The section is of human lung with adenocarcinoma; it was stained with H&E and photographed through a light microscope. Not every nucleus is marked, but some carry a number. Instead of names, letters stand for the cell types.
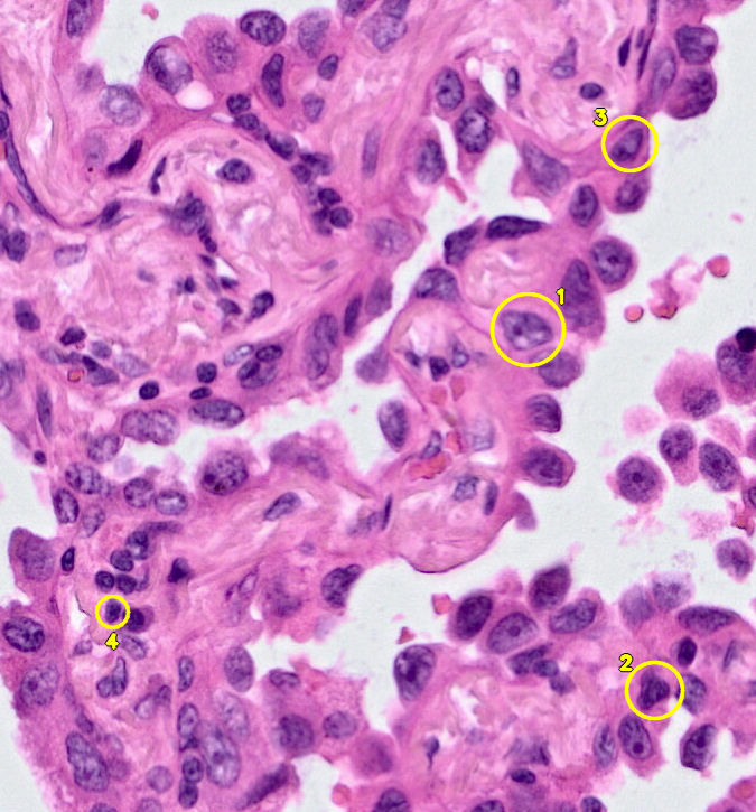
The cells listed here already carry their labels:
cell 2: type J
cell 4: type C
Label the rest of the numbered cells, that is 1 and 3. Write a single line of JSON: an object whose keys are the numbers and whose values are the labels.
{"1": "type J", "3": "type J"}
